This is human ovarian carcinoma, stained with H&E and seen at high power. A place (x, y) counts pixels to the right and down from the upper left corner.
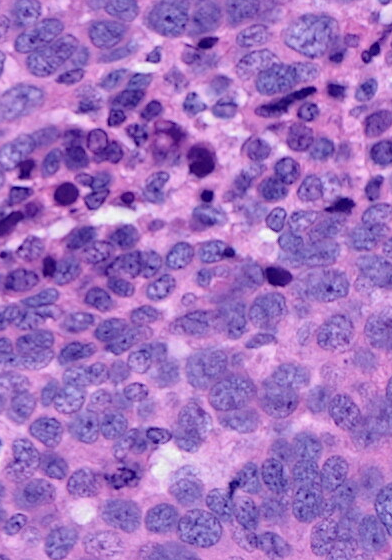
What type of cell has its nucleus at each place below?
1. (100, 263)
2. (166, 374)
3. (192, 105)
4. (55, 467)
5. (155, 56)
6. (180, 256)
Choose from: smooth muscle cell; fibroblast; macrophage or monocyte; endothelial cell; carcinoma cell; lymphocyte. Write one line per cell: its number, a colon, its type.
1: carcinoma cell
2: carcinoma cell
3: macrophage or monocyte
4: carcinoma cell
5: macrophage or monocyte
6: carcinoma cell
